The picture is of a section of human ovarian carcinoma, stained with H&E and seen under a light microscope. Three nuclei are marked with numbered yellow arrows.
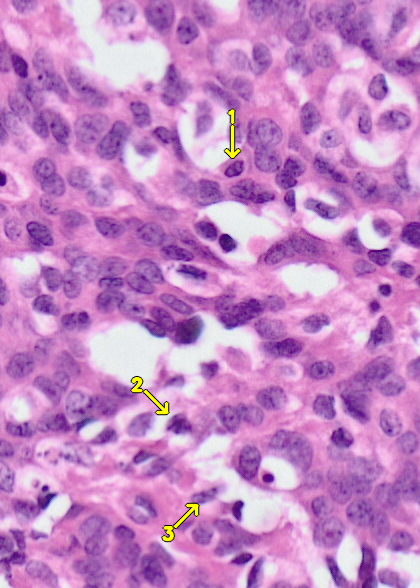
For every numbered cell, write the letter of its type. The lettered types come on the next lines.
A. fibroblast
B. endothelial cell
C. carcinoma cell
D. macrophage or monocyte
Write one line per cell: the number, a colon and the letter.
1: D
2: C
3: D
